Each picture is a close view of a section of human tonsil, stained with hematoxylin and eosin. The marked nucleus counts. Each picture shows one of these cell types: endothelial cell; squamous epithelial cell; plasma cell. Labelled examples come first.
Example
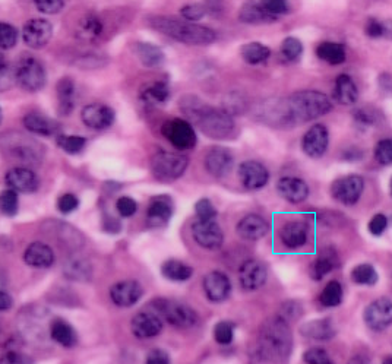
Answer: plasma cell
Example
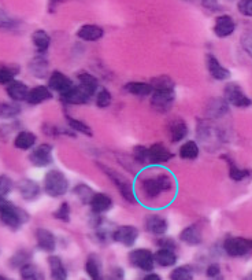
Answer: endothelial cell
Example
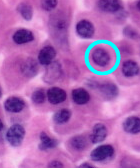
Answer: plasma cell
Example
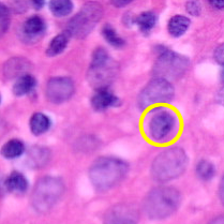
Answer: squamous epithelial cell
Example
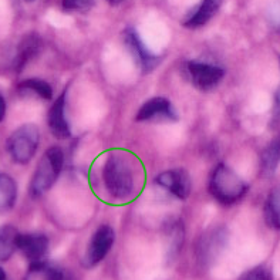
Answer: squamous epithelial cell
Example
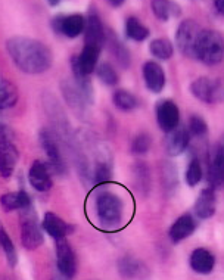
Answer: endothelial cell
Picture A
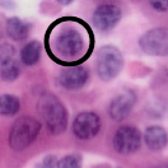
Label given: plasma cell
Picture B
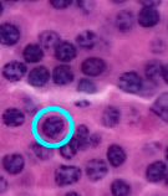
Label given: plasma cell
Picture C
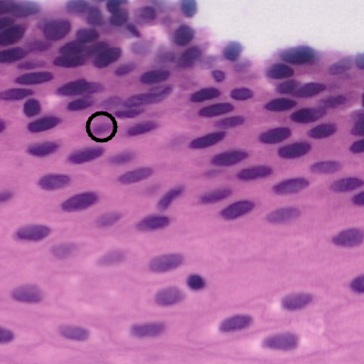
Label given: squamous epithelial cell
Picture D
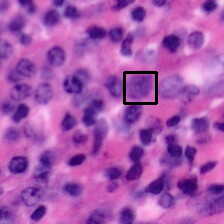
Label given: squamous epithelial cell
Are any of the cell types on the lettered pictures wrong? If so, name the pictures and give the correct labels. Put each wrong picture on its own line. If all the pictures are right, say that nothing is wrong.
D: change squamous epithelial cell to endothelial cell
